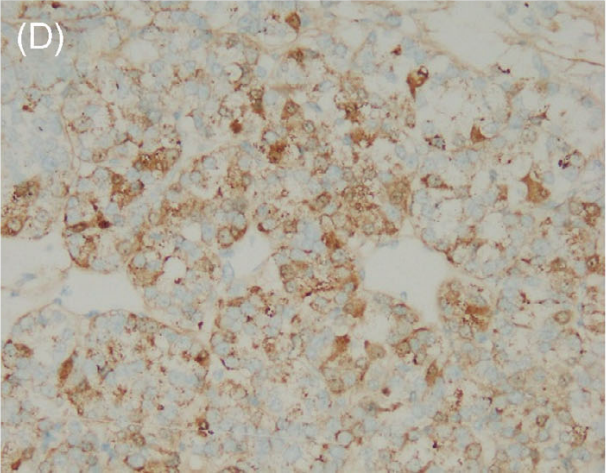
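This is a tumor composed of sheets and nests of cells, with blue-counterstained round nuclei. Many cells show brown granular staining in their cytoplasm, varying in intensity from cell to cell, while the nuclei remain unstained.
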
